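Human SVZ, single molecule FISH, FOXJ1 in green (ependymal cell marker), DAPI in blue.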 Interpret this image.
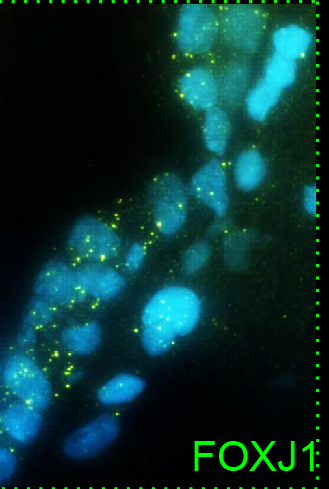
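Oval to rounded blue nuclei lie closely packed, several deep, with a few larger brightly stained nuclei among them. Fine green dots are scattered densely over and between the nuclei of this band, fewer away from it.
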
